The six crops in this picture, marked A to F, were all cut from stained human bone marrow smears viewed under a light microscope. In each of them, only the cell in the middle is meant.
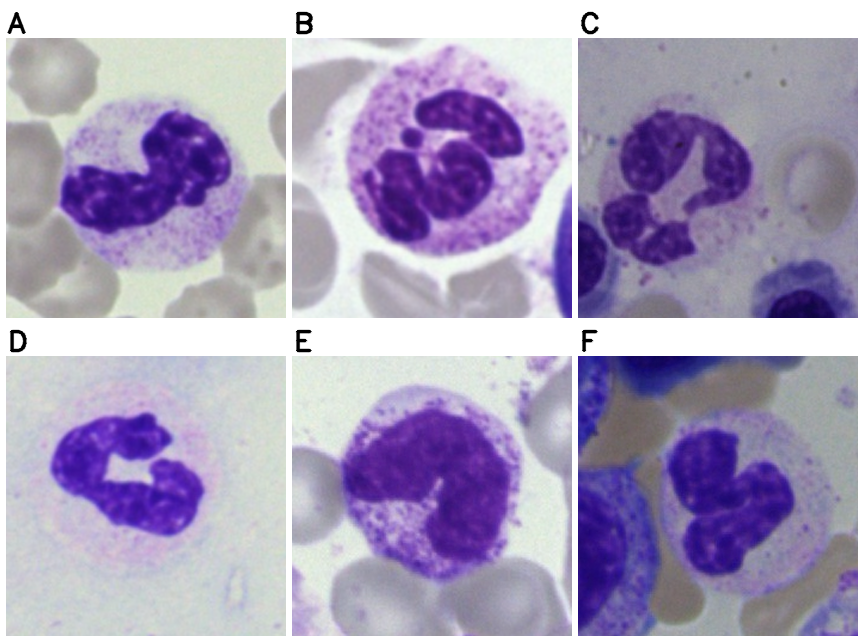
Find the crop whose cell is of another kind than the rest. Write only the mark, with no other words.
E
